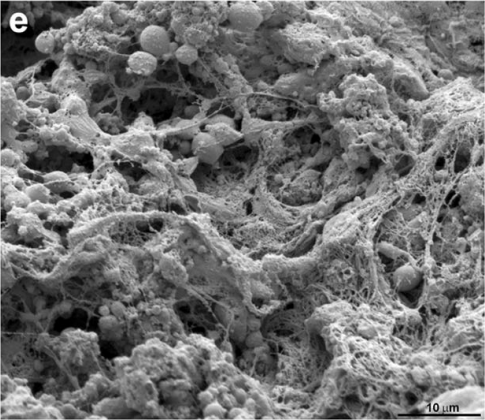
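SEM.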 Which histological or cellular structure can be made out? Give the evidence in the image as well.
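A network of thin fibres spans the spaces between rounded bodies. The fibres form a loose porous web. On this evidence: extracellular matrix.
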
